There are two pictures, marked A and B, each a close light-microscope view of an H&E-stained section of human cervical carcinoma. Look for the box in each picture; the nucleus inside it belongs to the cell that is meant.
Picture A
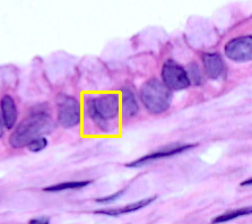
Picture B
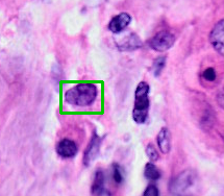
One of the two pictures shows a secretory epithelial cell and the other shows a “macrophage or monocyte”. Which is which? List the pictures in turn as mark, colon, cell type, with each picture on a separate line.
A: secretory epithelial cell
B: macrophage or monocyte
